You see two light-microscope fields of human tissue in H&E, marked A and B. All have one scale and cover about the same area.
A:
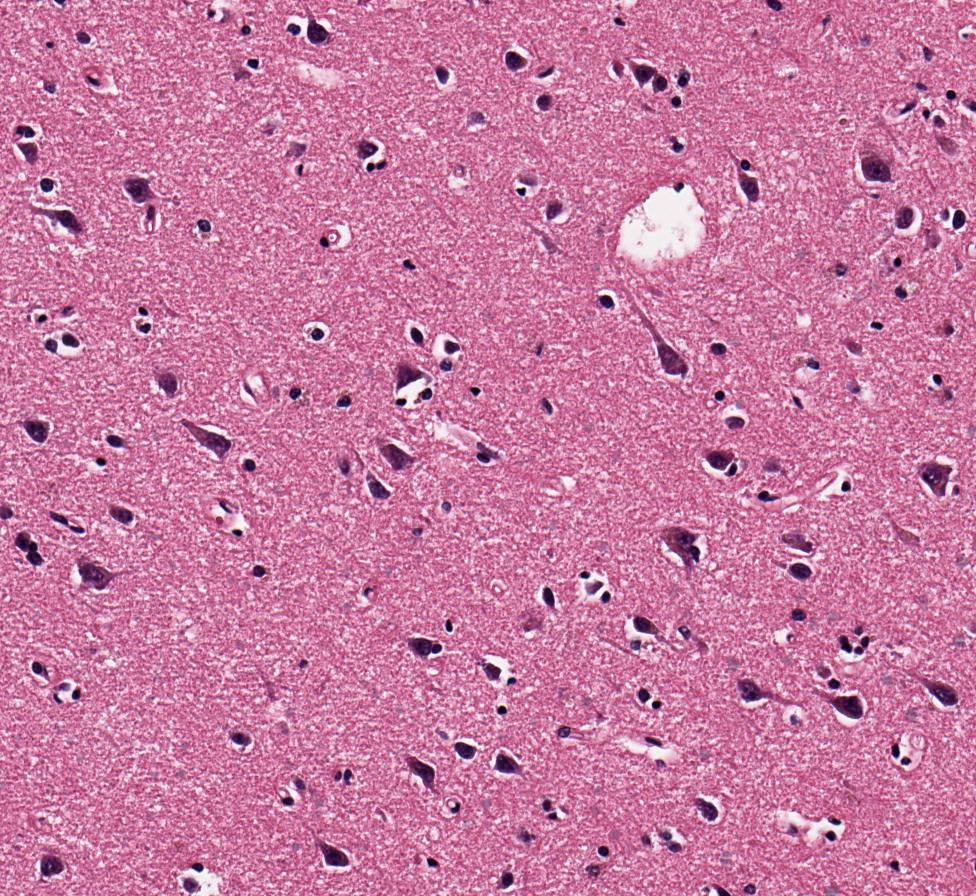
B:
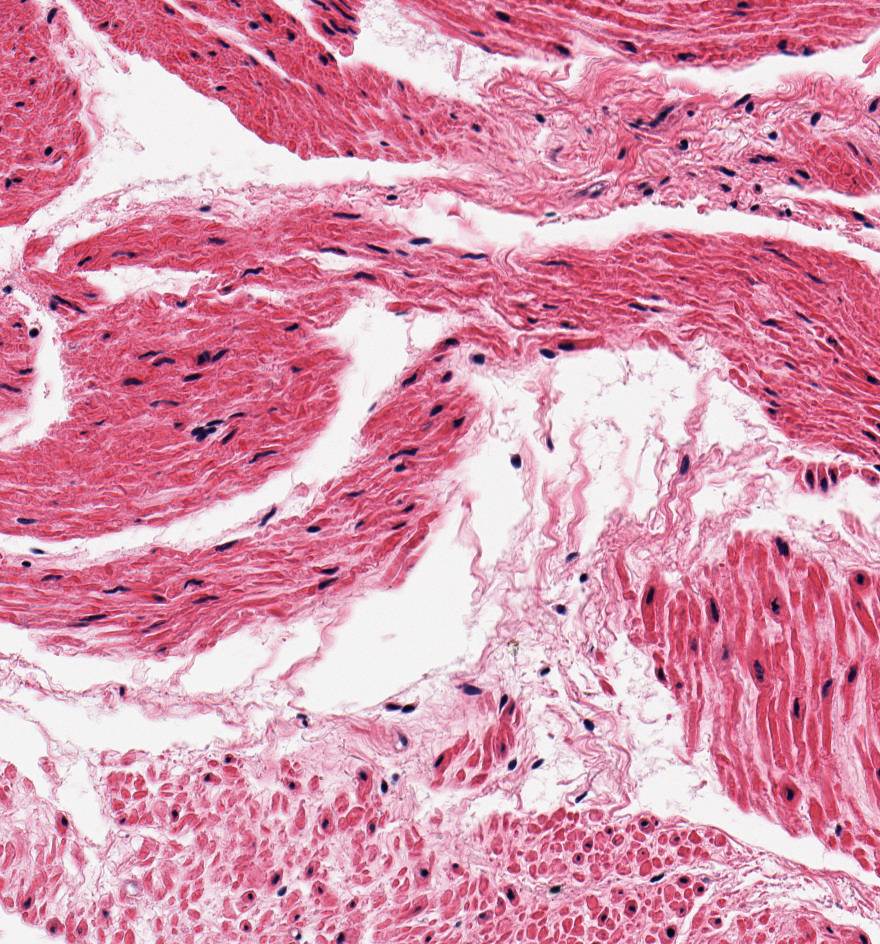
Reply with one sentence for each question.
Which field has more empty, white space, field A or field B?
Field B has more white space.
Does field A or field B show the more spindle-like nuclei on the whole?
On the whole the nuclei of field B are more drawn out than those of field A.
